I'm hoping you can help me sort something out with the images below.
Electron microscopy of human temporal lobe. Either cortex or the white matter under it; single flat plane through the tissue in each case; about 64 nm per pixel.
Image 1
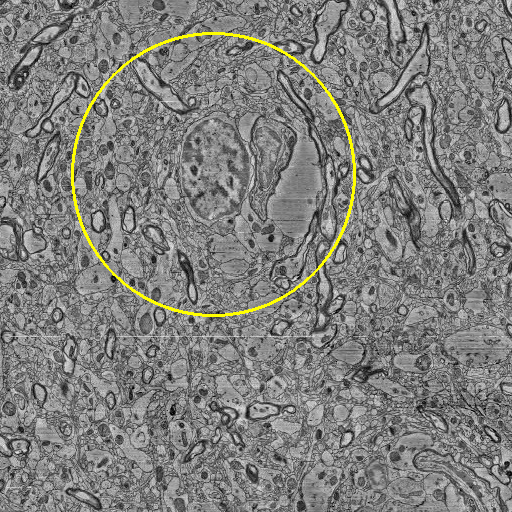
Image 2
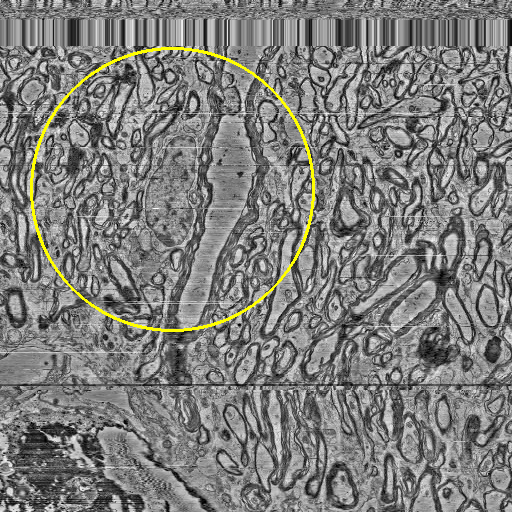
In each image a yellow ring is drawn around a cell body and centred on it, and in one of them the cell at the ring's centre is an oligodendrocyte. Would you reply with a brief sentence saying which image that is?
In Image 1, the cell at the centre of the ring is the one you asked about.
